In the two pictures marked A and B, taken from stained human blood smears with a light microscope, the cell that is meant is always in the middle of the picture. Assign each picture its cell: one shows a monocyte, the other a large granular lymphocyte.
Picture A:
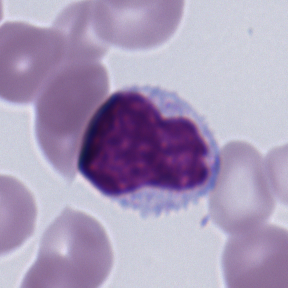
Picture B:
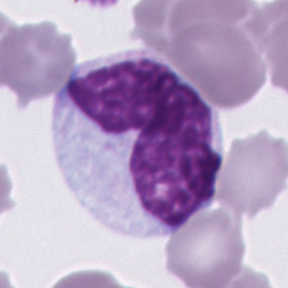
A: large granular lymphocyte
B: monocyte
